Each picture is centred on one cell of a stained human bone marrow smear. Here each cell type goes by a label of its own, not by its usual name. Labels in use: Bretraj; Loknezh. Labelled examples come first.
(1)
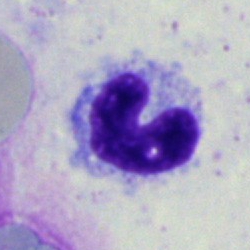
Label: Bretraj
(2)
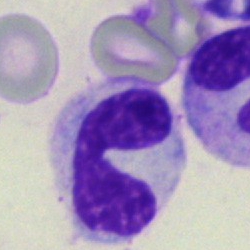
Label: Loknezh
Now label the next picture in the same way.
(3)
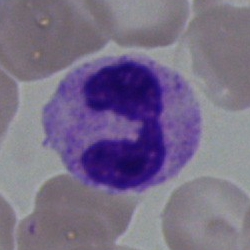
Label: Loknezh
